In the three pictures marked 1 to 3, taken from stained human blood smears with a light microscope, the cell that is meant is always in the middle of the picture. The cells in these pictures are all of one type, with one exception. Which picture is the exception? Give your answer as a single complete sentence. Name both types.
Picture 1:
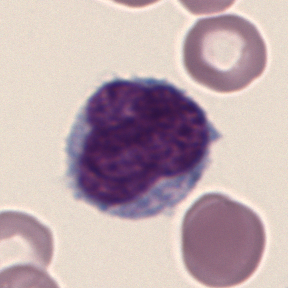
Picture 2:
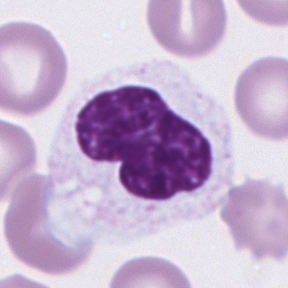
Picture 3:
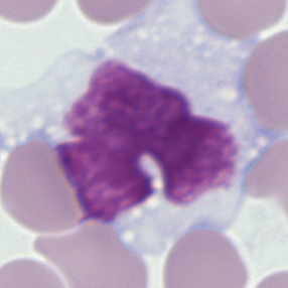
Picture 2 is the odd one out: it shows a band neutrophil, while the others show monocytes.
